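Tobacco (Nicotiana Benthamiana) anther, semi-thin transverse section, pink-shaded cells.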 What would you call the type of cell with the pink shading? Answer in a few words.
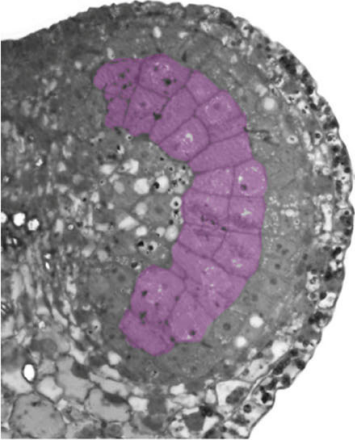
Sporogeneous cells.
